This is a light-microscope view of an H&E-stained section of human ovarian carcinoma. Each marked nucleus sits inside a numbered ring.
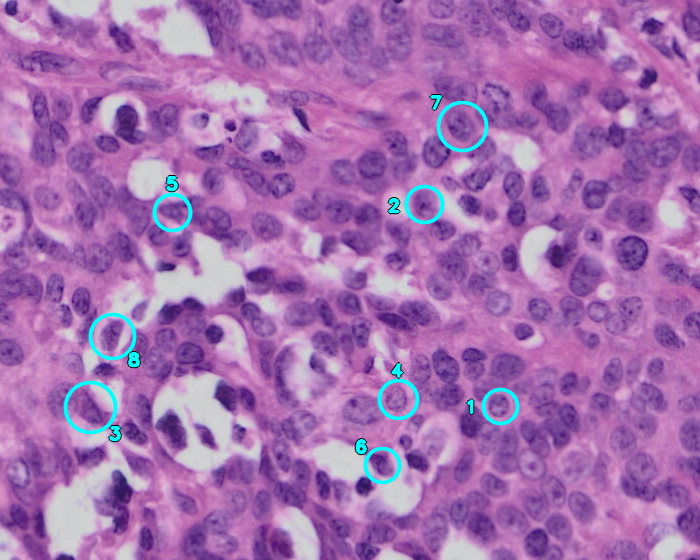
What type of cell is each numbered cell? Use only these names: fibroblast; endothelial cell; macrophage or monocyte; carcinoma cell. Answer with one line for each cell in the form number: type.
1: macrophage or monocyte
2: carcinoma cell
3: carcinoma cell
4: macrophage or monocyte
5: macrophage or monocyte
6: carcinoma cell
7: carcinoma cell
8: carcinoma cell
